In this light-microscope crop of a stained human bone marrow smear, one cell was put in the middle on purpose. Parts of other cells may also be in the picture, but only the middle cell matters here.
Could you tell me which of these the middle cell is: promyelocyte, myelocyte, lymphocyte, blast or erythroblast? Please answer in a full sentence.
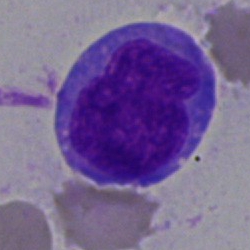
The cell marked by its central position in the crop is a blast.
